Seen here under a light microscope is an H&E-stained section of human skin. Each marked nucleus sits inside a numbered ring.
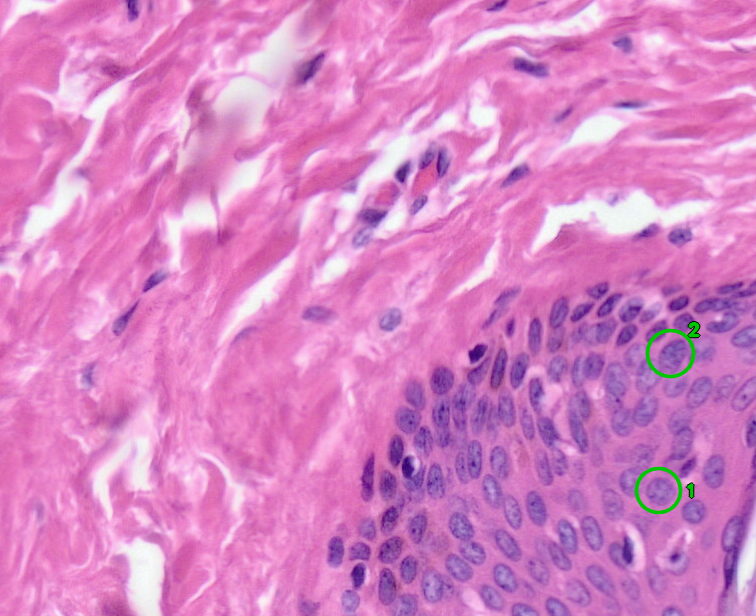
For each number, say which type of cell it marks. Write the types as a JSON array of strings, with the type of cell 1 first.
["suprabasal keratinocyte", "basal keratinocyte"]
